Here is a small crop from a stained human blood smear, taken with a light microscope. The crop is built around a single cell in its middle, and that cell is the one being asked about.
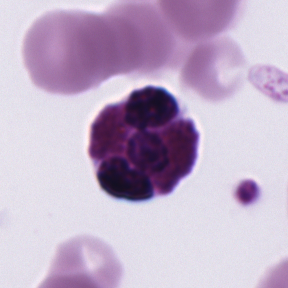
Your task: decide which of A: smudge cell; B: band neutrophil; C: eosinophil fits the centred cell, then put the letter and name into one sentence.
Well, the cell in the middle is an eosinophil, making option C right.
